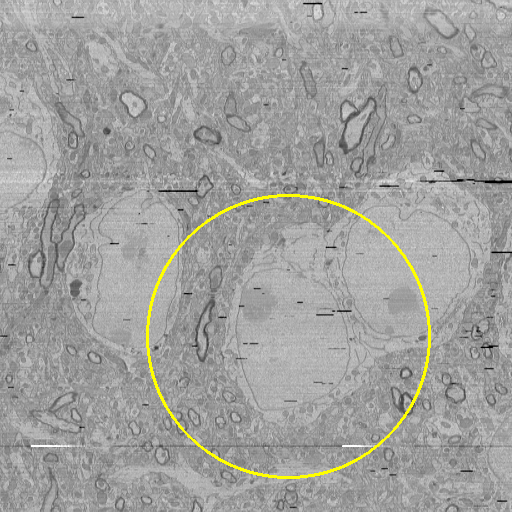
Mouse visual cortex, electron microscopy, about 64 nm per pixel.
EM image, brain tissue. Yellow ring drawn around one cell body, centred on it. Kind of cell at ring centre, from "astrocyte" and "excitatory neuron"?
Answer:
excitatory neuron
